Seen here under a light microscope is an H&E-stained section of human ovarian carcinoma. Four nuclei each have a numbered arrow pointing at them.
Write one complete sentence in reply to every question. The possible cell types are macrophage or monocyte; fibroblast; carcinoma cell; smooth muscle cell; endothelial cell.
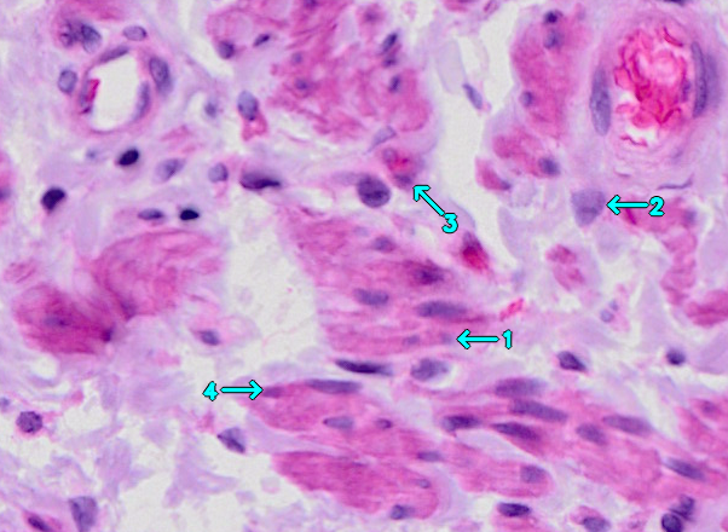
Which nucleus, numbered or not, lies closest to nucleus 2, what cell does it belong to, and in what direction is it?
Lying above and to the left of nucleus 2, the nearest nucleus is that of a smooth muscle cell.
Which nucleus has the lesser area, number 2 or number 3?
With nucleus 2 about 4 times its size, nucleus 3 is the smaller of the two.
